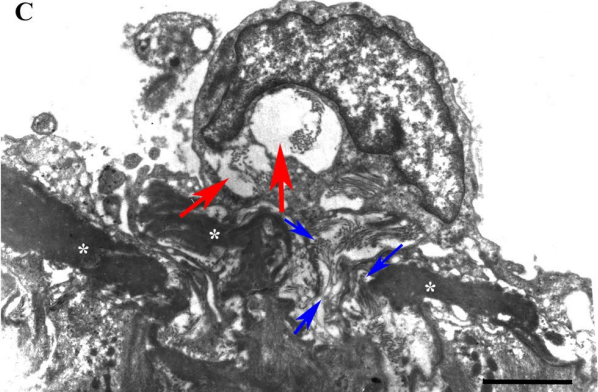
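Electron micrograph of the intimal surface showing a rounded endothelial cell with a large nucleus bulging above the wall. Beneath it lie dense dark elastic fibers broken into separate fragments, with fine fibrillar extracellular matrix filling the gaps between them and pale spaces separating the cell from the underlying layer.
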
